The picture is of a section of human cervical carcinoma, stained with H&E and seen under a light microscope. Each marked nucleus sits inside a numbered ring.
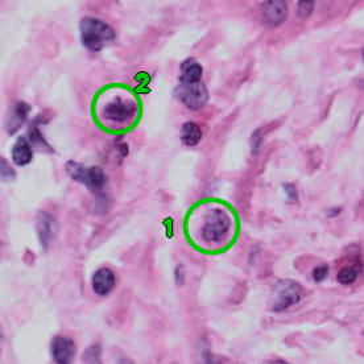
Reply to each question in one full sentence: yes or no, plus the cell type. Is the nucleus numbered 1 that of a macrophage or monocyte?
Yes, the one numbered 1 is a macrophage or monocyte.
